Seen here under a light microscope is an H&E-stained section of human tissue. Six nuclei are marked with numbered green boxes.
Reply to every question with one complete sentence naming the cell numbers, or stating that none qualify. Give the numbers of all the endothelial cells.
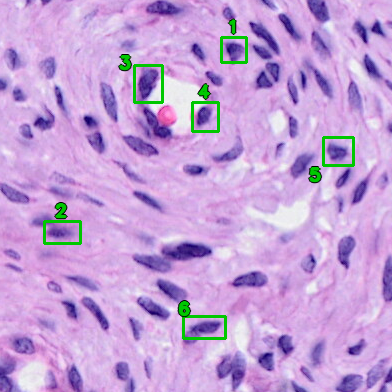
As for the cells numbered 3 and 4, they are endothelial cells.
